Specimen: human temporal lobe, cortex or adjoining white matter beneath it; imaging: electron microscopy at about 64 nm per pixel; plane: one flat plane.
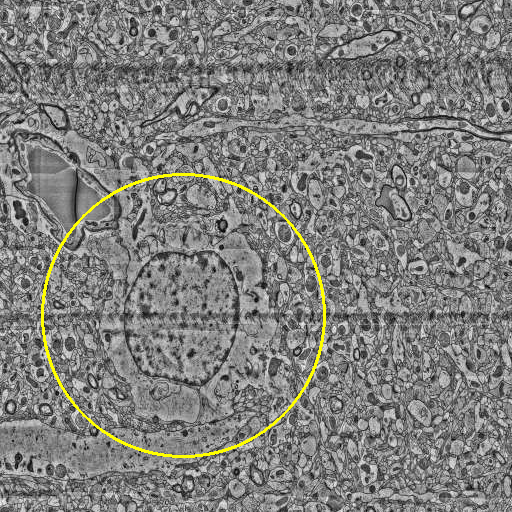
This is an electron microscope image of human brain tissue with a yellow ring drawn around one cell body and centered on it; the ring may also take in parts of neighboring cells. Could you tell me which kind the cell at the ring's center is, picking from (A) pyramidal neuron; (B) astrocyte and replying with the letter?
B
